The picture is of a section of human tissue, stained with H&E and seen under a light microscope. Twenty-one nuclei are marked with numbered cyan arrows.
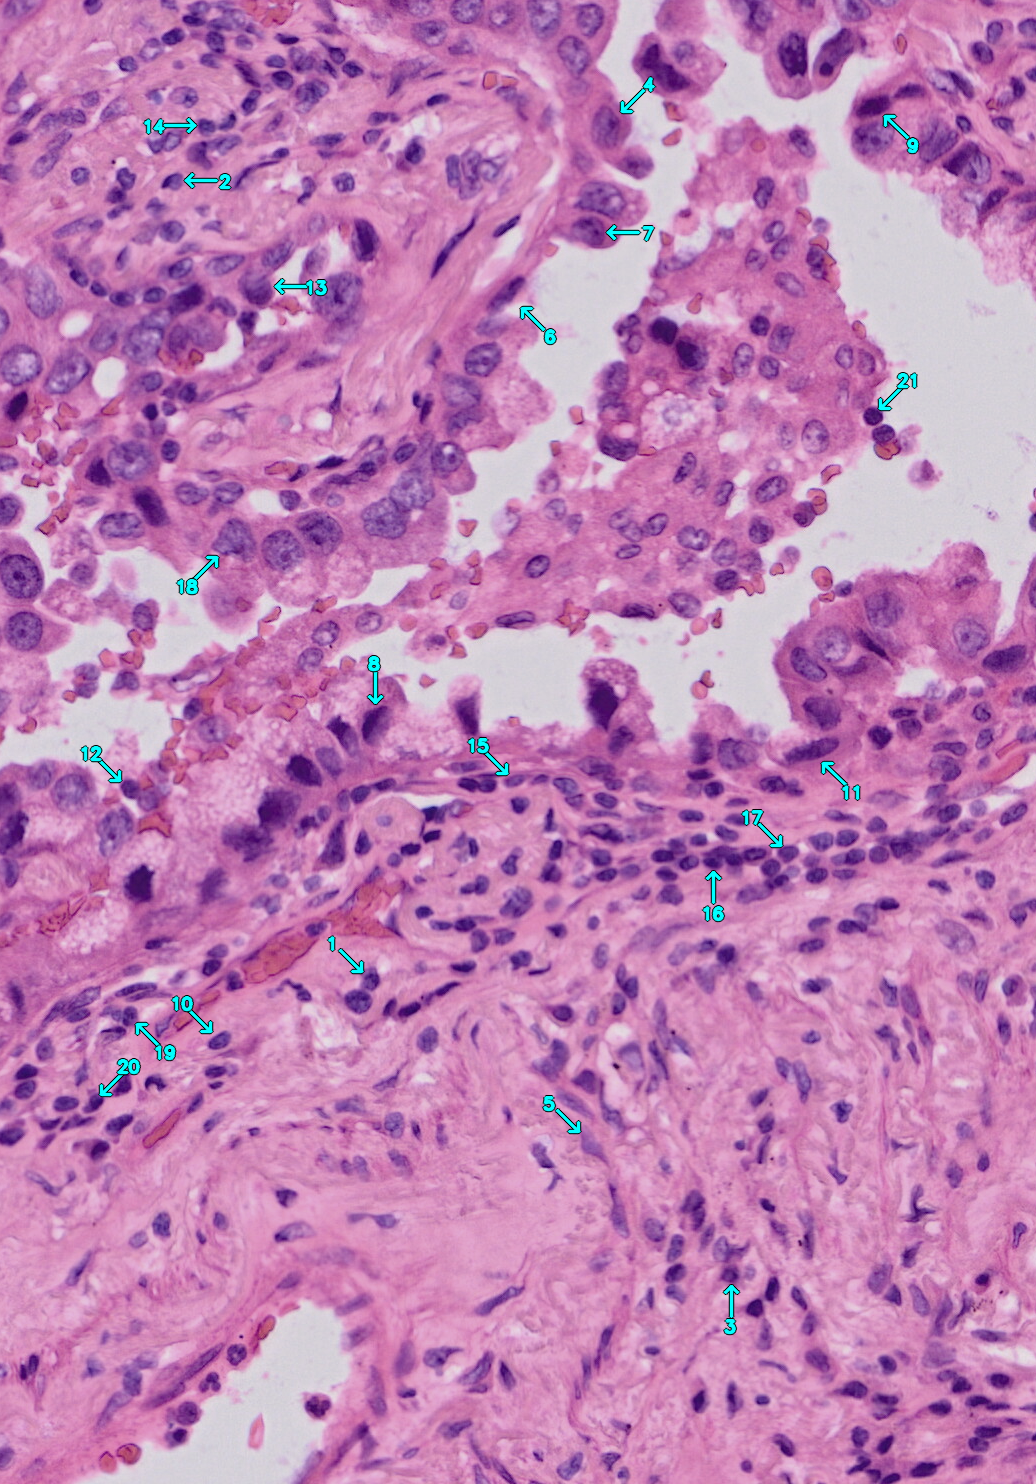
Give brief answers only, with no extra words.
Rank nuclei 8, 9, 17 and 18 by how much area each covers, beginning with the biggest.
18, 8, 9, 17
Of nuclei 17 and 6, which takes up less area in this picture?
17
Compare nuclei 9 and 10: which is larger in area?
9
